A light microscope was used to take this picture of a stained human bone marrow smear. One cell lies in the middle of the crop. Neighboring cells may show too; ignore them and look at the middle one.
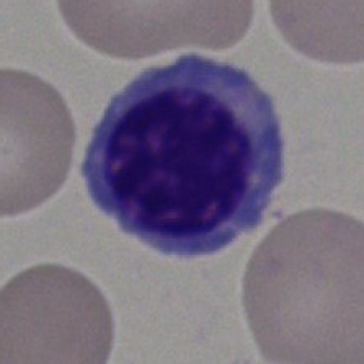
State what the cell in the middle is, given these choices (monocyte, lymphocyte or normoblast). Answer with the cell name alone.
normoblast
